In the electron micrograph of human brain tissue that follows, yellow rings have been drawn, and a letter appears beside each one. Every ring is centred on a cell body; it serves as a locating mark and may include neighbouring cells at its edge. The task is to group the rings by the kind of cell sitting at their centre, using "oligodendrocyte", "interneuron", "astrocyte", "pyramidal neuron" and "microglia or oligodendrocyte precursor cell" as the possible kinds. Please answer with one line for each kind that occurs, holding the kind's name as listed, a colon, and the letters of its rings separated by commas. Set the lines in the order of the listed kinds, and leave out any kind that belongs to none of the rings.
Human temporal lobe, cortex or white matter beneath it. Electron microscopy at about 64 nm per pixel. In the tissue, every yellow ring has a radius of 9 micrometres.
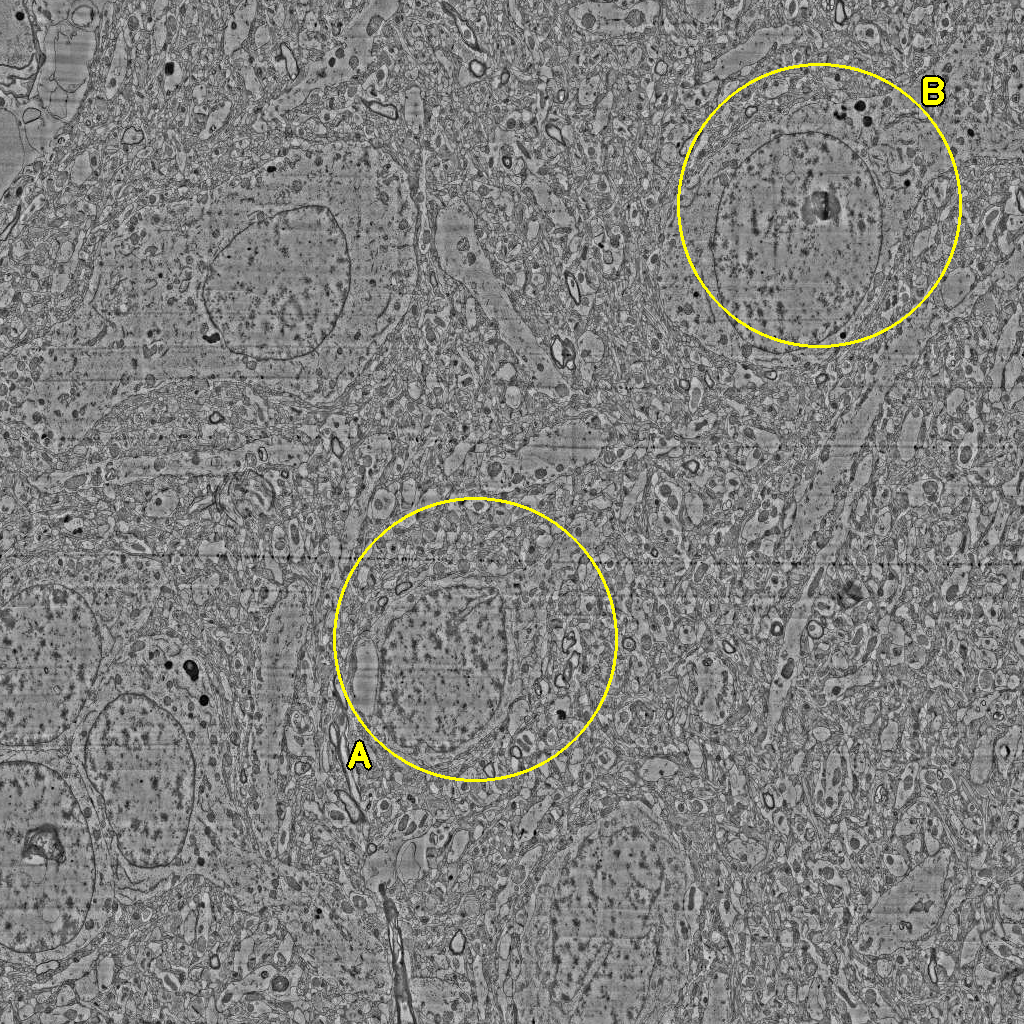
interneuron: A
pyramidal neuron: B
